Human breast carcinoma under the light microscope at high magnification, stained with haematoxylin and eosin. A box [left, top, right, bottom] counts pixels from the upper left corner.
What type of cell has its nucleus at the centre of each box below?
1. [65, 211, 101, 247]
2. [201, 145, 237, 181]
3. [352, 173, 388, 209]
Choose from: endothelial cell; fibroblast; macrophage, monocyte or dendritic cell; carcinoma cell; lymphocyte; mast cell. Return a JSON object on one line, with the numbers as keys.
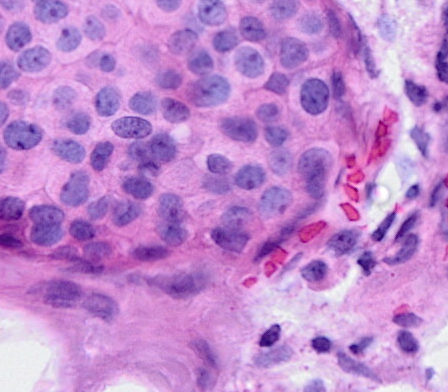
{"1": "carcinoma cell", "2": "carcinoma cell", "3": "endothelial cell"}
